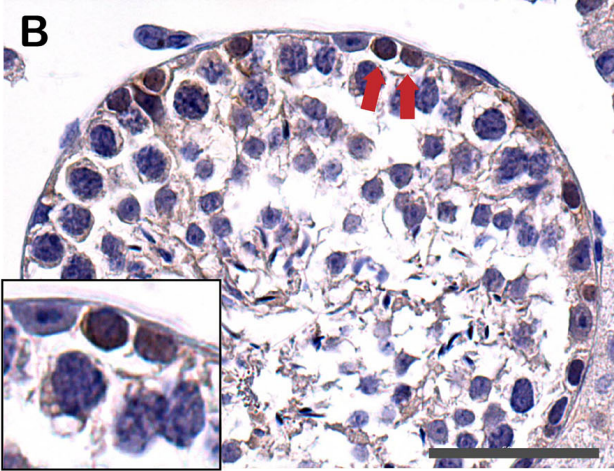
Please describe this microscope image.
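A seminiferous tubule at higher magnification is lined by several layers of round germ cells with blue nuclei, while the lumen contains loose material and thin tails. A few flattened to rounded cells with brown-stained nuclei lie singly at the very edge of the tubule, resting on the basement membrane beneath the other cells.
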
